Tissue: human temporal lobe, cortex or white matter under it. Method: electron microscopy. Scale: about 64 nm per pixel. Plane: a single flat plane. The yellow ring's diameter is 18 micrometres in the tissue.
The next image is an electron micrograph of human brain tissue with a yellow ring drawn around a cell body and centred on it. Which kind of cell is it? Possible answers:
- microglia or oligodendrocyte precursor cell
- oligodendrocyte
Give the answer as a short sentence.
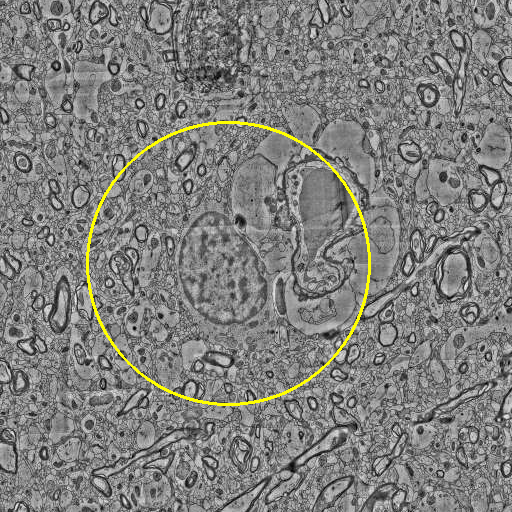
In the ring's centre is an oligodendrocyte.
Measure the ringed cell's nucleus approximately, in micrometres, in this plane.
In this plane, approximately 7 by 5 micrometers.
